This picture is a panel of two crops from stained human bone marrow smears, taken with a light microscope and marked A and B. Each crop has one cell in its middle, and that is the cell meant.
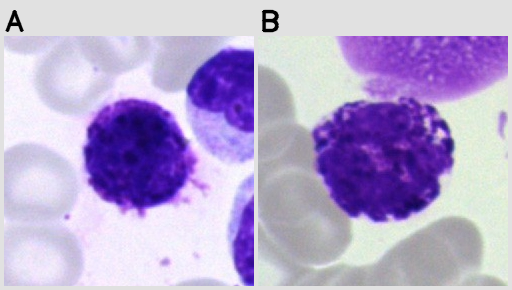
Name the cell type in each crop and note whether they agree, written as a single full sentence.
Yes, the two crops both show basophils.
